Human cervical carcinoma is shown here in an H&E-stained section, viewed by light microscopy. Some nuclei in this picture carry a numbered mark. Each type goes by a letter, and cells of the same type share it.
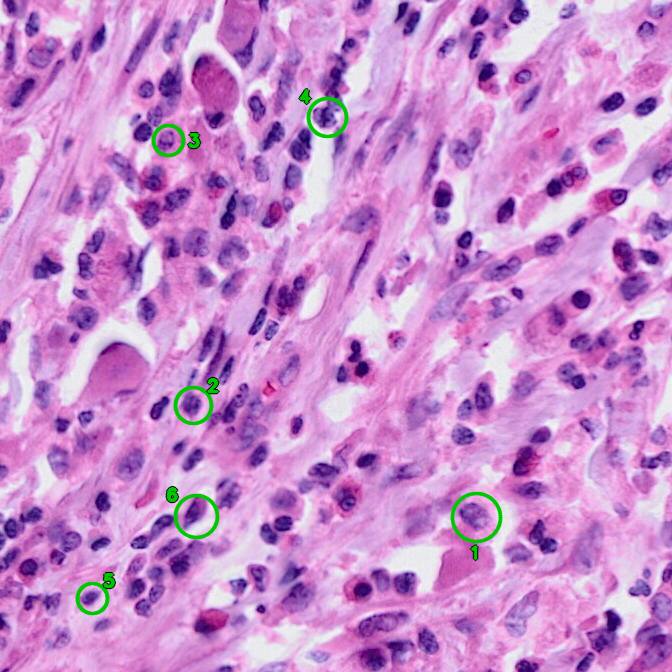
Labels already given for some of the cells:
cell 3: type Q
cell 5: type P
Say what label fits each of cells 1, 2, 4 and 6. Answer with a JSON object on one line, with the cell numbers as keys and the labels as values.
{"1": "type Q", "2": "type P", "4": "type P", "6": "type Q"}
